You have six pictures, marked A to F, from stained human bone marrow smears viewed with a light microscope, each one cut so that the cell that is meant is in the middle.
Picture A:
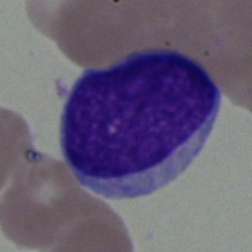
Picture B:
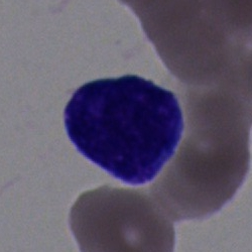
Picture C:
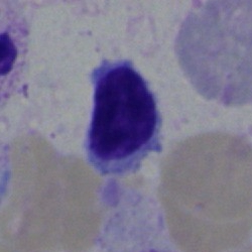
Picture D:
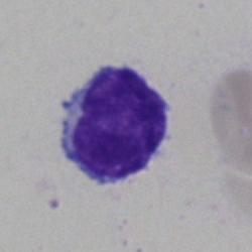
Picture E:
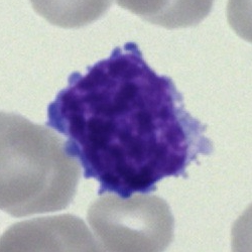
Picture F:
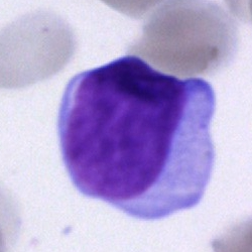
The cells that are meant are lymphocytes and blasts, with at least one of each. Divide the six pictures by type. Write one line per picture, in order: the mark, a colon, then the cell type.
A: blast
B: blast
C: lymphocyte
D: lymphocyte
E: blast
F: blast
